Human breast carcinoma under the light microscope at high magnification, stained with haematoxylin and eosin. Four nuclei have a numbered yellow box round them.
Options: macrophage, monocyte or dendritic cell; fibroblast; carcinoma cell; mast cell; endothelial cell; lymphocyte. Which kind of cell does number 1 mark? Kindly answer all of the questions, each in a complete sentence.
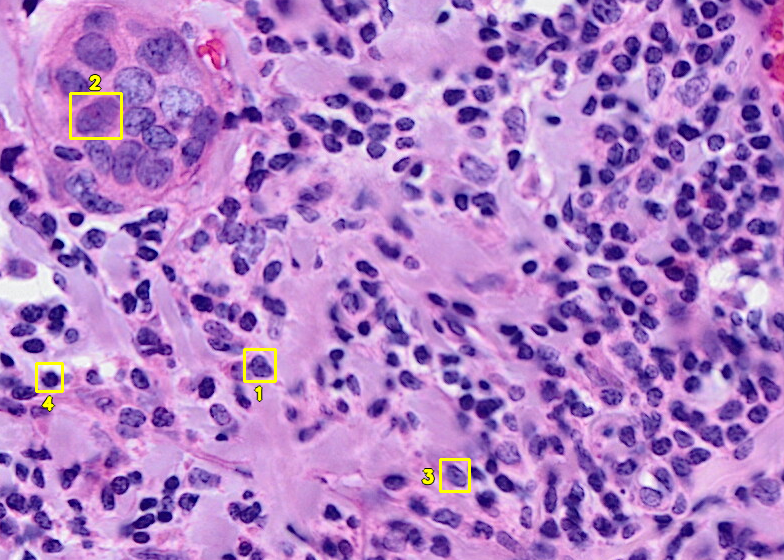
Corresponding to a lymphocyte is the cell labelled 1.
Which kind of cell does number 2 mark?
Nucleus 2 in this section belongs to a carcinoma cell.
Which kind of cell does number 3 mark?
In this section, the cell tagged 3 is a lymphocyte.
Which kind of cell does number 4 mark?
The nucleus with number 4 is that of a lymphocyte.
